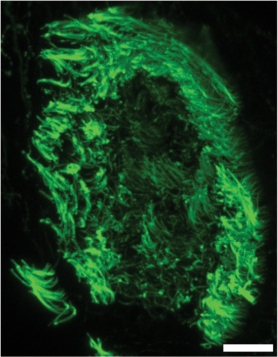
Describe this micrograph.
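Olfactory pit with a dense brush of cilia. Long, curved cilia crowd along the rim of the oval pit, sweeping in bundles, while shorter, finer cilia carpet the centre.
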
